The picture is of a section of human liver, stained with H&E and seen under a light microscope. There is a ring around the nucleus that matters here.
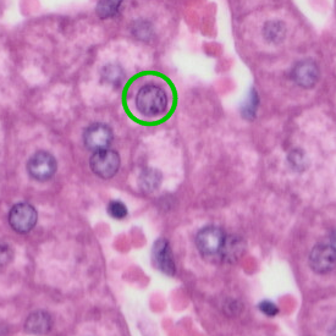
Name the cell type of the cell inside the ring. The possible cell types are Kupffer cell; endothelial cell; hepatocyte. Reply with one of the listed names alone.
hepatocyte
